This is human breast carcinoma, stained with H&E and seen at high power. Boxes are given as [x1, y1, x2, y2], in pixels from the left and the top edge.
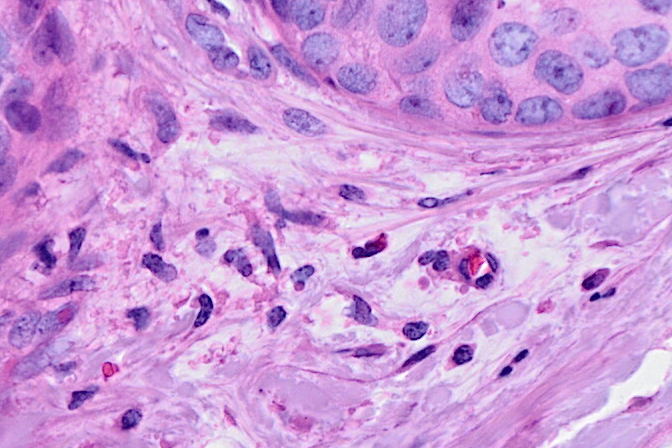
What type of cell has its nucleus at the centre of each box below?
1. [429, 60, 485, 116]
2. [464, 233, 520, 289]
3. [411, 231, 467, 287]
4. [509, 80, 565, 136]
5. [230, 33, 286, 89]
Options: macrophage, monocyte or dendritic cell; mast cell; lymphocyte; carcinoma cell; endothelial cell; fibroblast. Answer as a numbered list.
1. carcinoma cell
2. endothelial cell
3. endothelial cell
4. carcinoma cell
5. endothelial cell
